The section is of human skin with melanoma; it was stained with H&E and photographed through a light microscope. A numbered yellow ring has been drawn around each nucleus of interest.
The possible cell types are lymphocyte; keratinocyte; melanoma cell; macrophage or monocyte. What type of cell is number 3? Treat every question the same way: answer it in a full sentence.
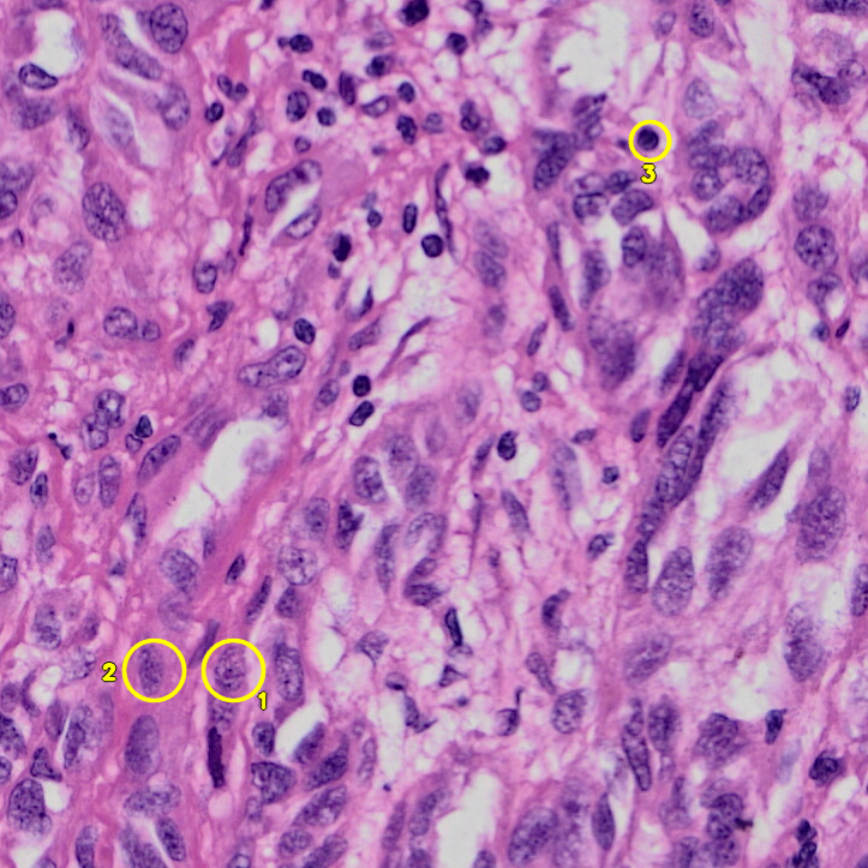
The cell that is numbered 3 is a lymphocyte.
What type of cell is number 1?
The cell assigned the number 1 is a melanoma cell.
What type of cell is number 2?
The correct answer for cell 2 is a melanoma cell.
